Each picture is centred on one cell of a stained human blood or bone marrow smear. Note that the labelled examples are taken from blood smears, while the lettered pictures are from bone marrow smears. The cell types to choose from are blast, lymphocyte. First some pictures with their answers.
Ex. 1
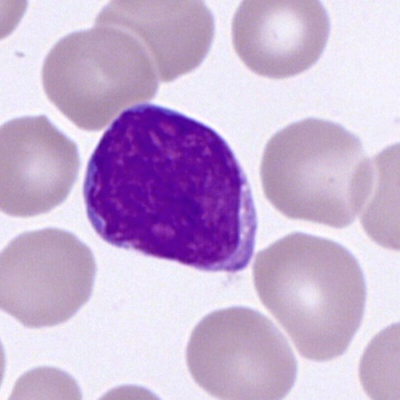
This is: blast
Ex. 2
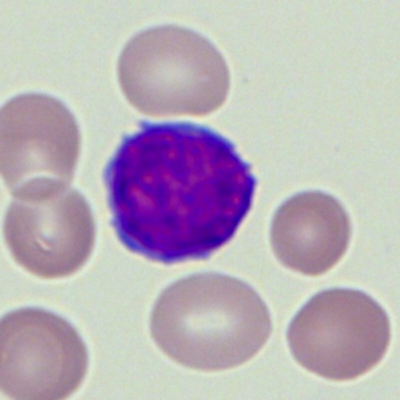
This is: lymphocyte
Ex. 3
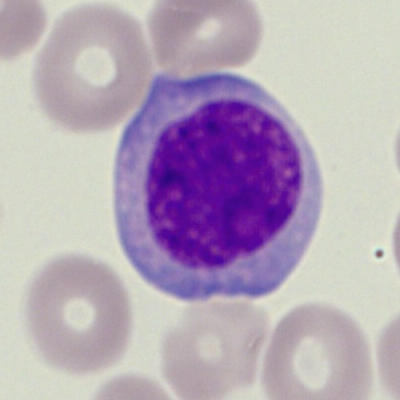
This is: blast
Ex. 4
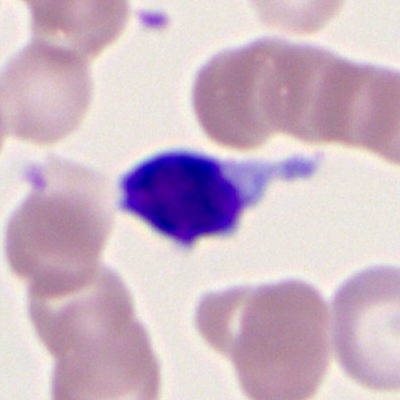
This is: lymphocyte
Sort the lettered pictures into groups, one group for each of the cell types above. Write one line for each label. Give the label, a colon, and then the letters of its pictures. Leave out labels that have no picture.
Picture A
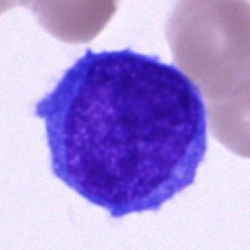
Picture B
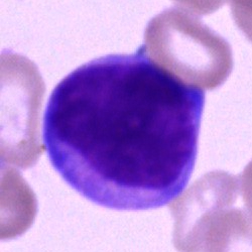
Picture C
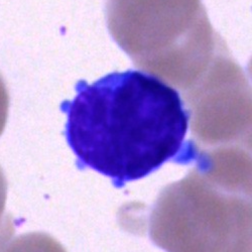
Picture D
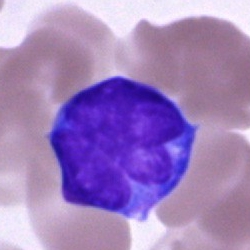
blast: A, B, D
lymphocyte: C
